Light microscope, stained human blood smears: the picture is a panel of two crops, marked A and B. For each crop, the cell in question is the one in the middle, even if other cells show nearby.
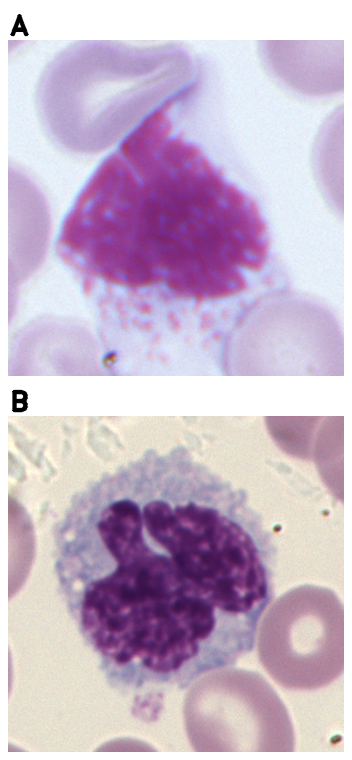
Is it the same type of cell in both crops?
no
